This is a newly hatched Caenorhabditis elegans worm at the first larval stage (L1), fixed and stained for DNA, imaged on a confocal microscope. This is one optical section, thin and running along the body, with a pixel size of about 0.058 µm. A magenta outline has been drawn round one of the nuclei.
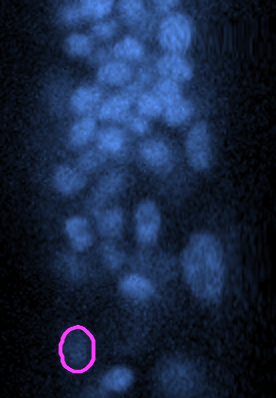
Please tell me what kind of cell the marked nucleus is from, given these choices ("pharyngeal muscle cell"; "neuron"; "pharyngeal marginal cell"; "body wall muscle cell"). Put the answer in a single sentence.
This nucleus is from a body wall muscle cell.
